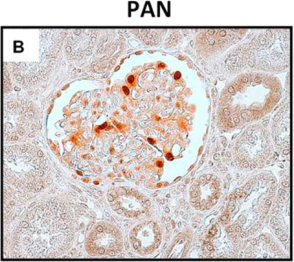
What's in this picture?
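A kidney glomerulus is seen in section. Its capillary tuft lies within a clear space enclosed by a thin capsule, and cross-sectioned tubules surround it. Dark brown stained nuclei are scattered within the tuft, mainly near its outer surface, among paler unstained nuclei and orange-tinged matrix. The surrounding tubules have brownish cytoplasm, round nuclei and open lumina.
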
